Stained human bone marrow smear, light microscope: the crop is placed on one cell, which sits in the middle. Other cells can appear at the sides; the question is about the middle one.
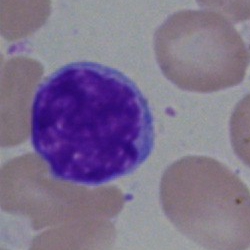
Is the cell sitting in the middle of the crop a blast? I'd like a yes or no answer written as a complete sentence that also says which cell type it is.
No, the cell sitting in the centre of the crop is a lymphocyte, not a blast.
